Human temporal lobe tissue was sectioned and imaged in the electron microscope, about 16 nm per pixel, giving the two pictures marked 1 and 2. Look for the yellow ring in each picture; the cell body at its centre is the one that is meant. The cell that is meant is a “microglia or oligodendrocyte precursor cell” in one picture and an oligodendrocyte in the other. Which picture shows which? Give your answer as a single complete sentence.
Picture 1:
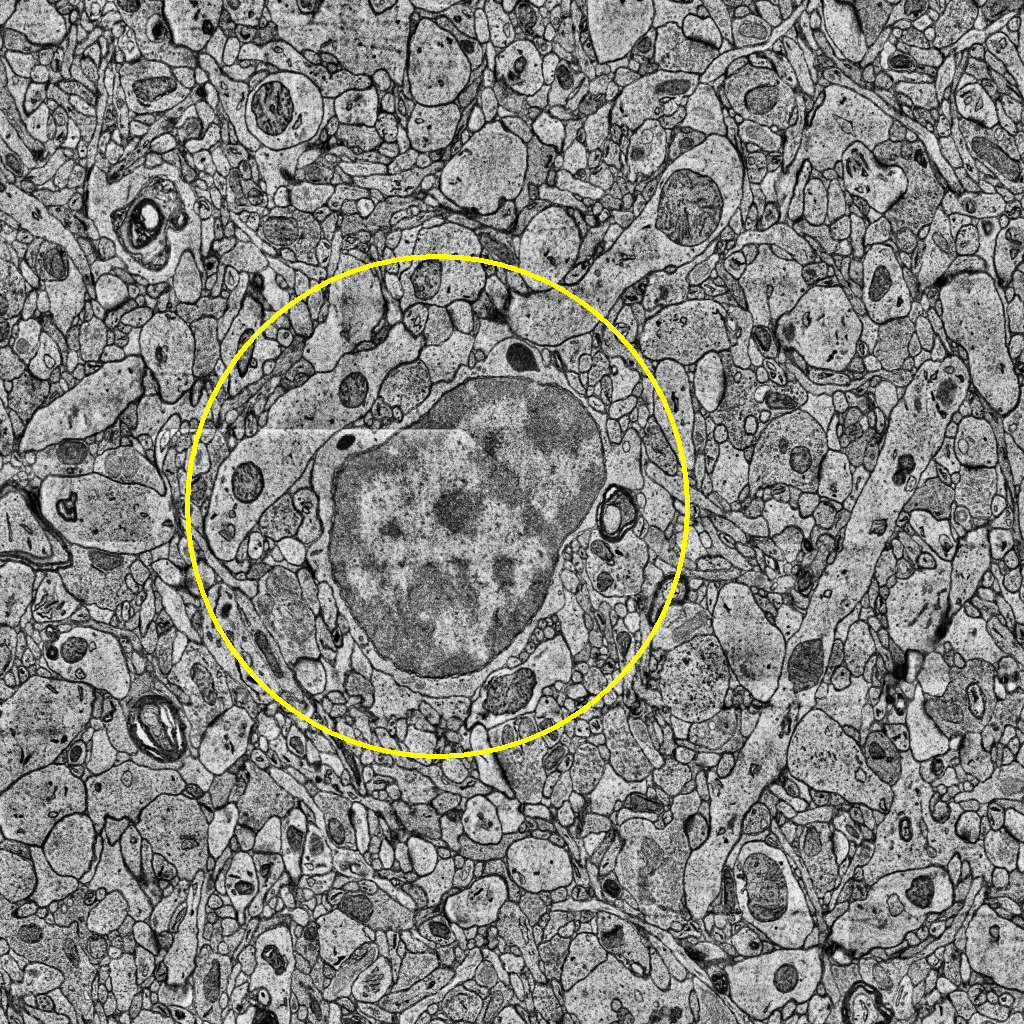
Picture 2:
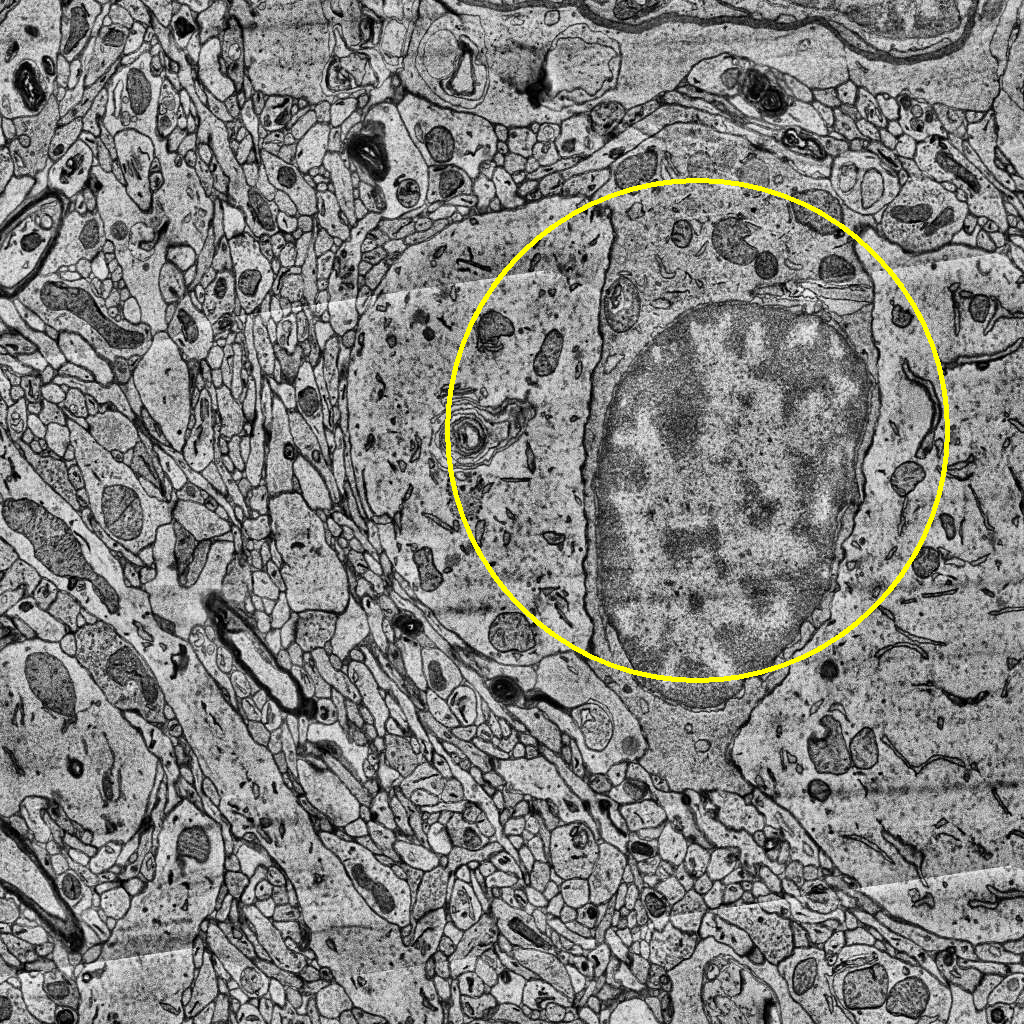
Picture 1 is of a “microglia or oligodendrocyte precursor cell”, and picture 2 is of an oligodendrocyte.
